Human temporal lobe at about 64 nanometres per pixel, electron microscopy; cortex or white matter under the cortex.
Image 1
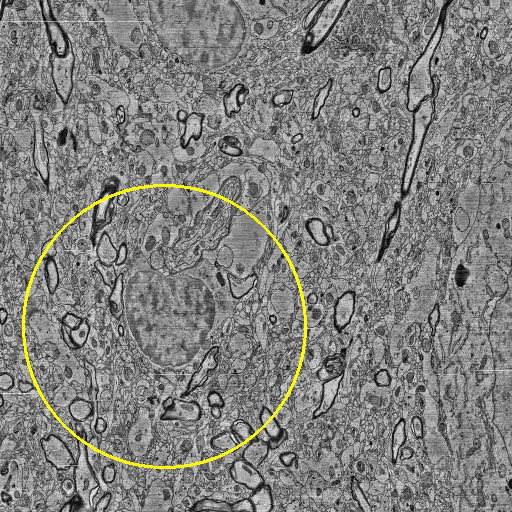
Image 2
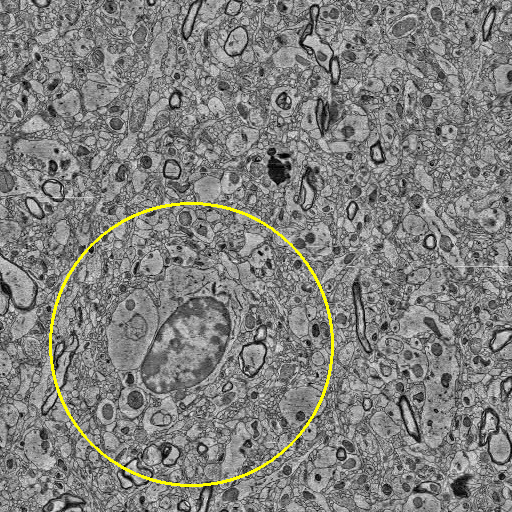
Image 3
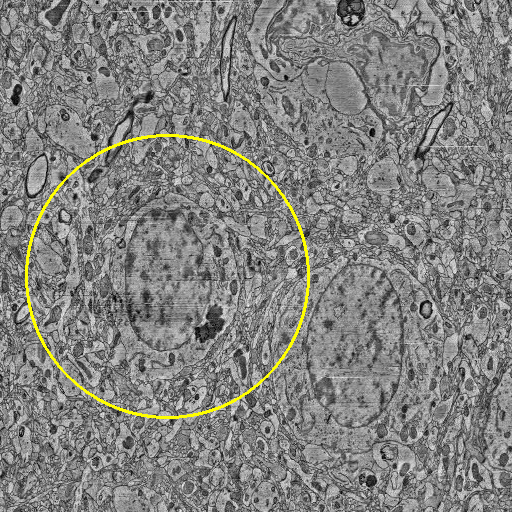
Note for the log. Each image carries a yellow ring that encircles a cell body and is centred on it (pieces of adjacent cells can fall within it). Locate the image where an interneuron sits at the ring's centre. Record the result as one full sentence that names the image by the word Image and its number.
Image 3 has the wanted cell sitting at the centre of its ring.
